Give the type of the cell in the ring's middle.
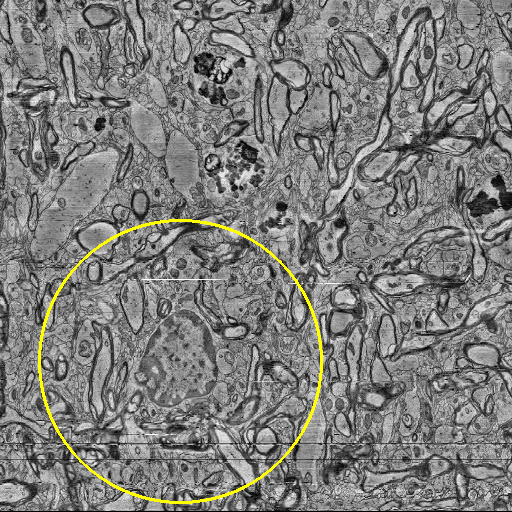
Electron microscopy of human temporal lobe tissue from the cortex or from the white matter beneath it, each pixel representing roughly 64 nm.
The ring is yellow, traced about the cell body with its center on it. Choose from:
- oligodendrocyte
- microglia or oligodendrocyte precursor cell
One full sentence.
Here, a microglial cell or oligodendrocyte precursor cell is the cell lying at the center of the yellow ring.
